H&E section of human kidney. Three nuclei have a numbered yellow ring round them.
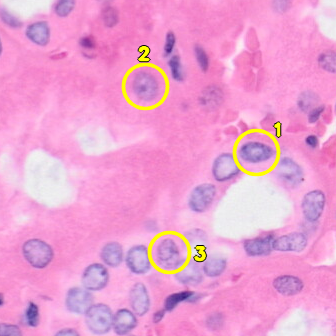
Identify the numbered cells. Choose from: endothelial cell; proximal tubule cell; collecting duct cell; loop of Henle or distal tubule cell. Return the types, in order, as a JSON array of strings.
["collecting duct cell", "proximal tubule cell", "collecting duct cell"]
